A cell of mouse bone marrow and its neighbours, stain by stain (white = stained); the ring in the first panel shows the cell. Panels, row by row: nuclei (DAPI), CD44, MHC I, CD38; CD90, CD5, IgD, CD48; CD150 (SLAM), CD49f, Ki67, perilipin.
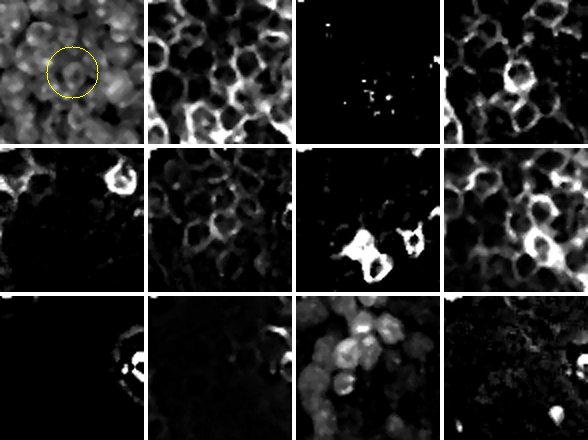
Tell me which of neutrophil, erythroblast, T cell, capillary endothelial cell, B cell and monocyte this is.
The picture shows a B cell.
